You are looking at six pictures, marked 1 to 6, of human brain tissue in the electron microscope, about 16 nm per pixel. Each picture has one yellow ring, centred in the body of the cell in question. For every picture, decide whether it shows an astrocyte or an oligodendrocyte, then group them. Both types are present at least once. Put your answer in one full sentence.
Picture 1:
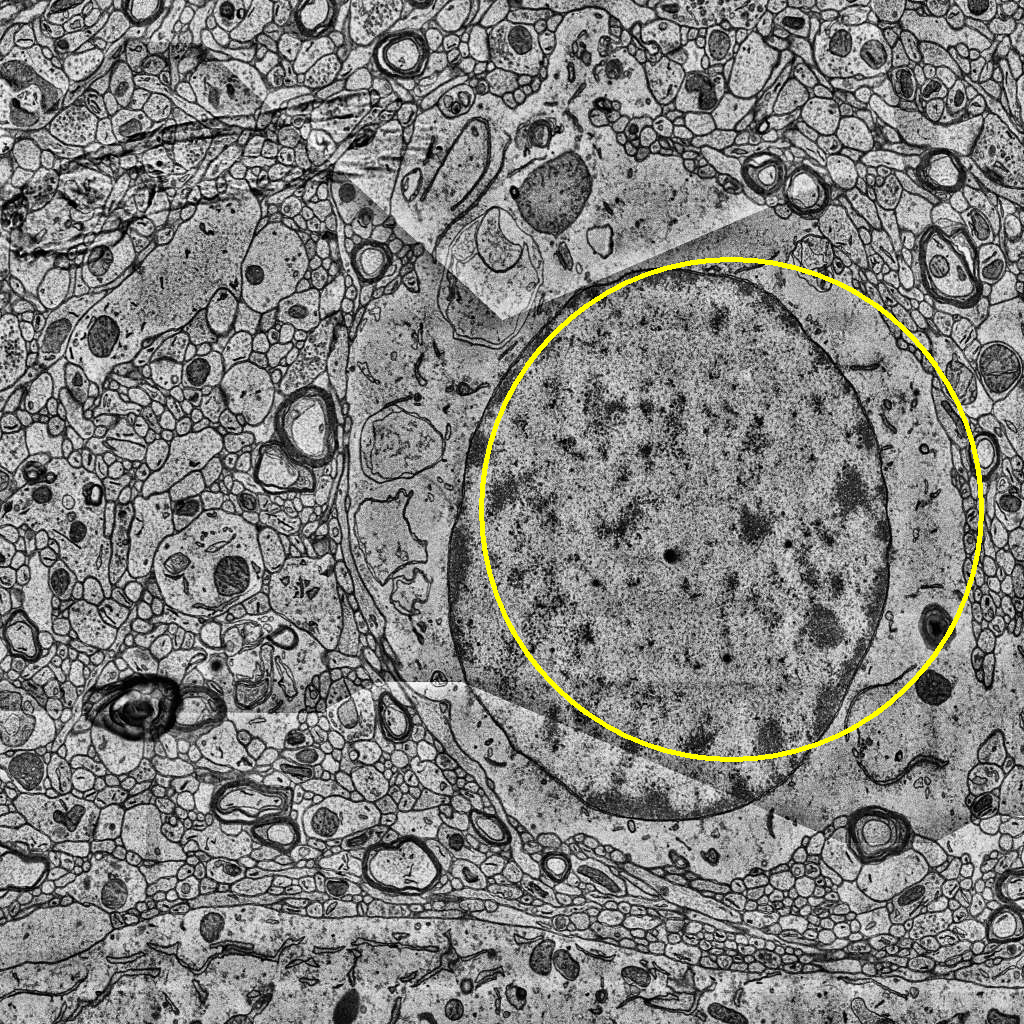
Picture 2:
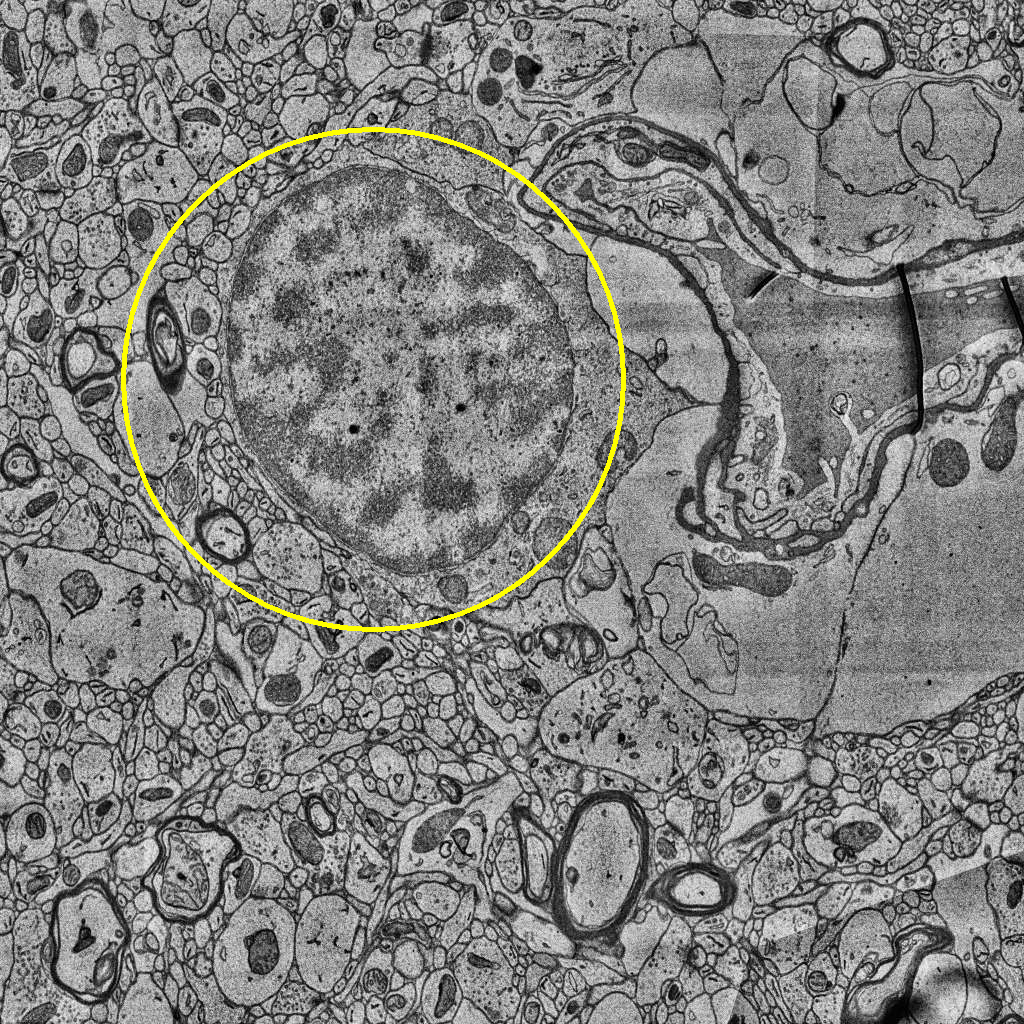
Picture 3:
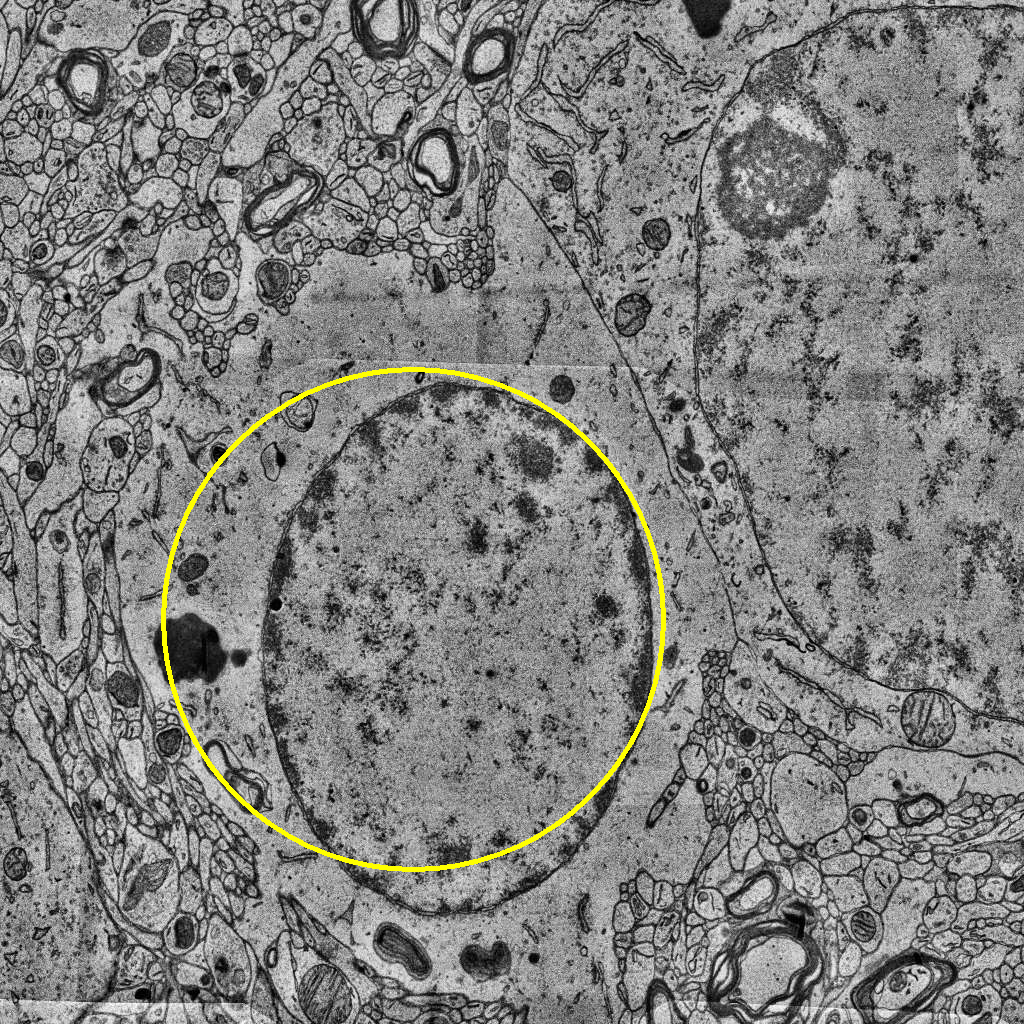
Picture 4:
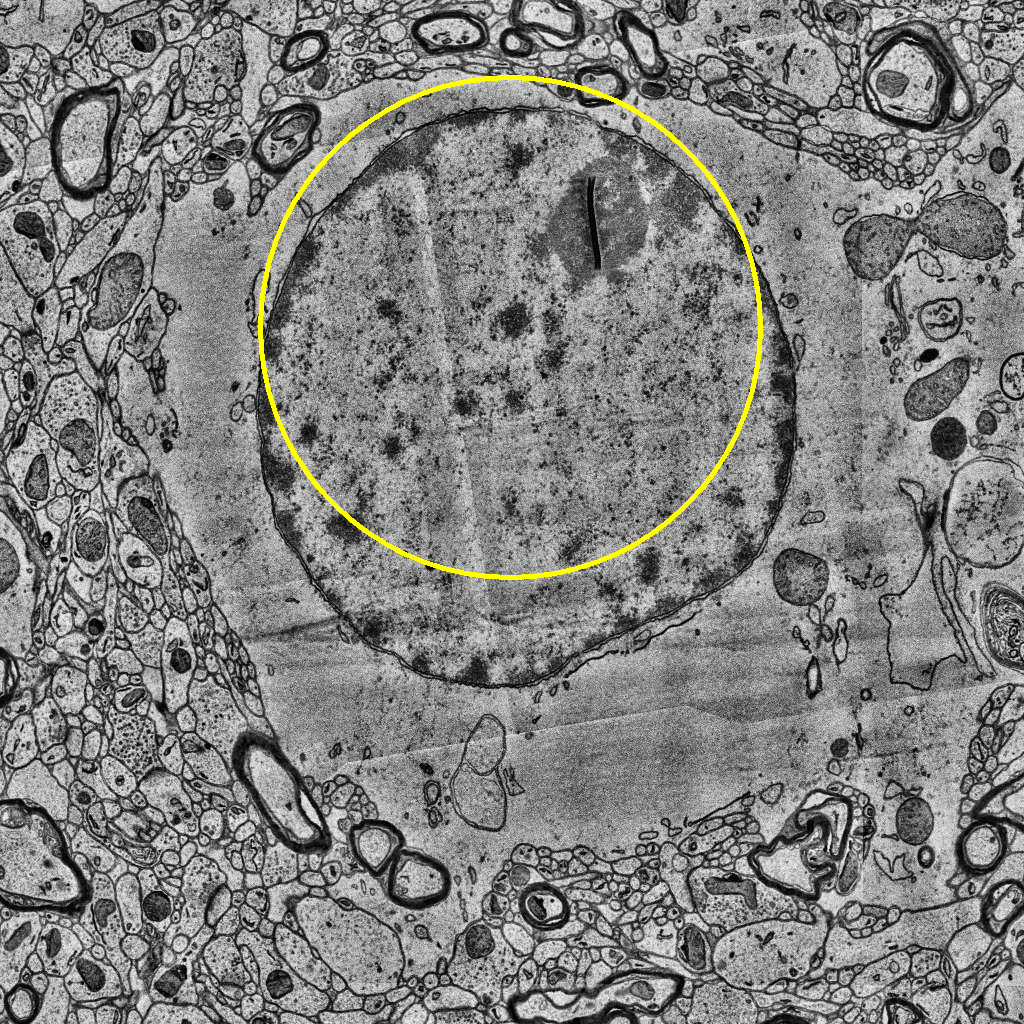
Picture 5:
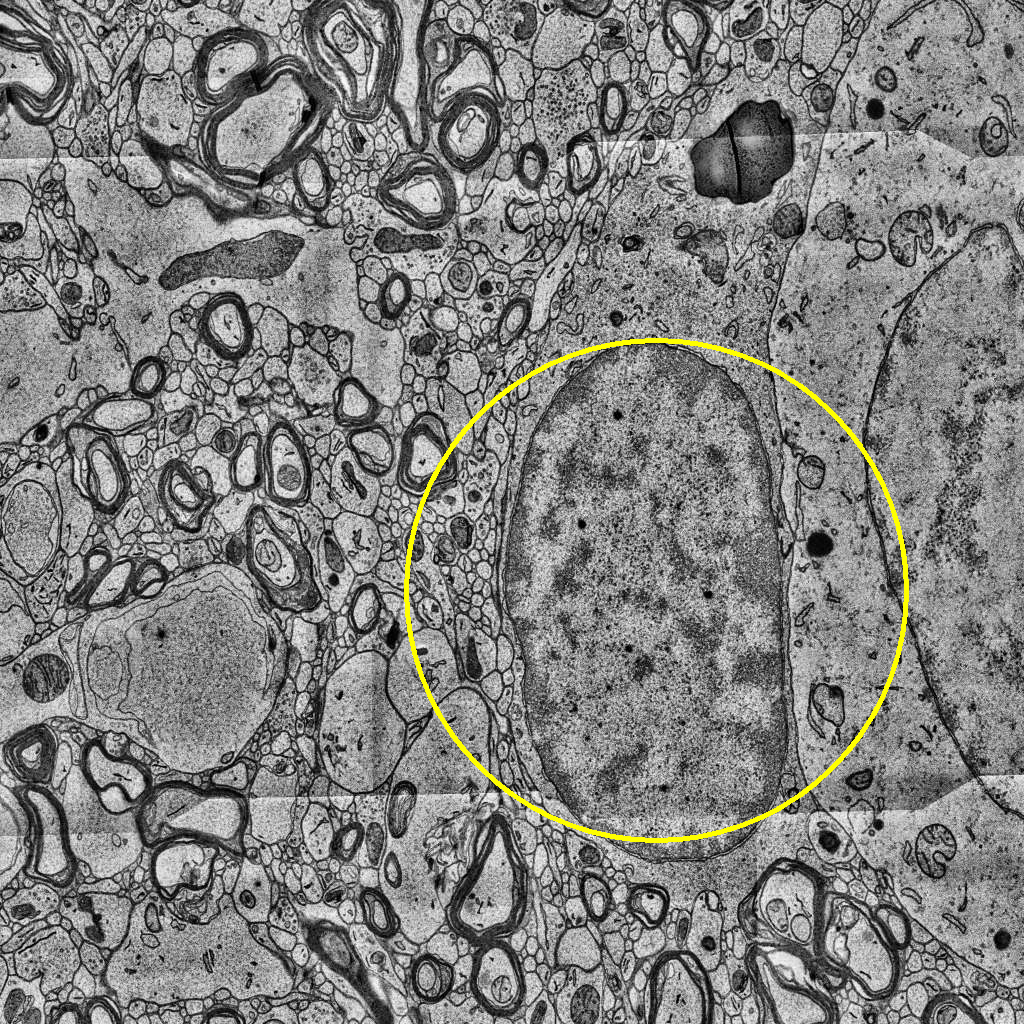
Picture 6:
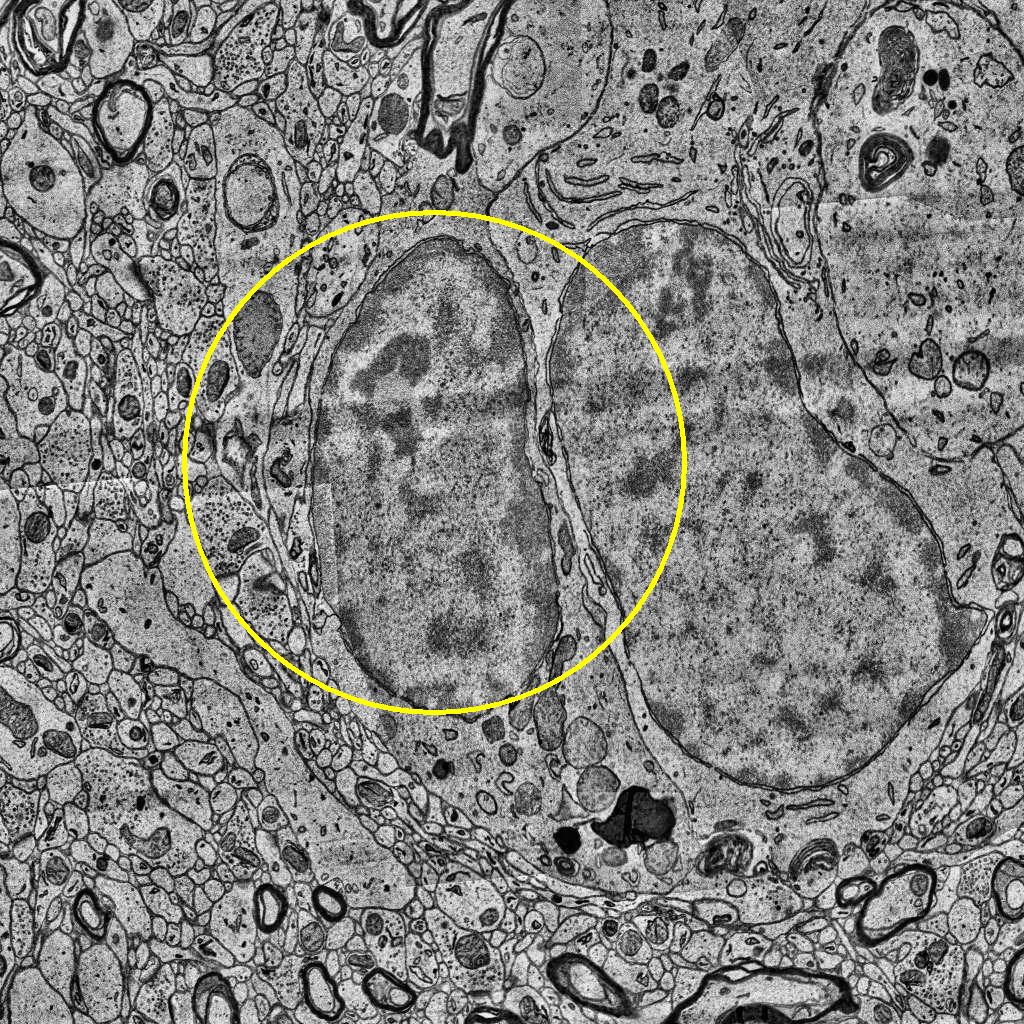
Pictures 1, 3 and 4 show astrocytes, and pictures 2, 5 and 6 show oligodendrocytes.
